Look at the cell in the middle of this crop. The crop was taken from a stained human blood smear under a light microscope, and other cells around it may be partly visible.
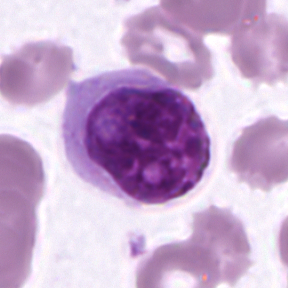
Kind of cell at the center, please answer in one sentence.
Here the centrally located cell is a plasma cell.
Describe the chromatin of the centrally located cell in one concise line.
You can see that its chromatin is coarsely clumped.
